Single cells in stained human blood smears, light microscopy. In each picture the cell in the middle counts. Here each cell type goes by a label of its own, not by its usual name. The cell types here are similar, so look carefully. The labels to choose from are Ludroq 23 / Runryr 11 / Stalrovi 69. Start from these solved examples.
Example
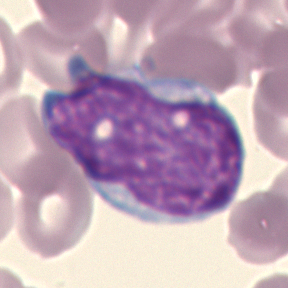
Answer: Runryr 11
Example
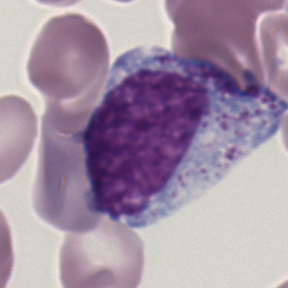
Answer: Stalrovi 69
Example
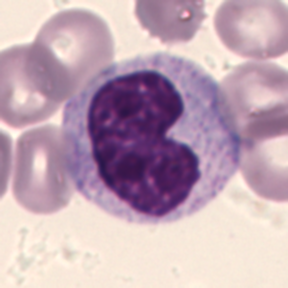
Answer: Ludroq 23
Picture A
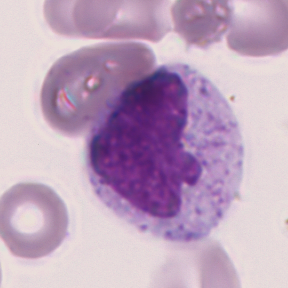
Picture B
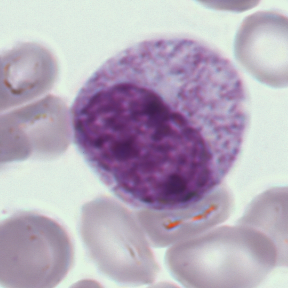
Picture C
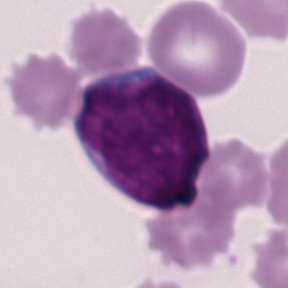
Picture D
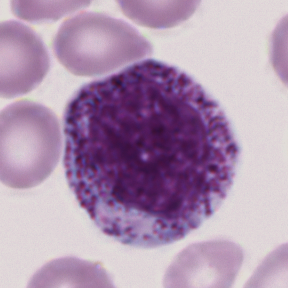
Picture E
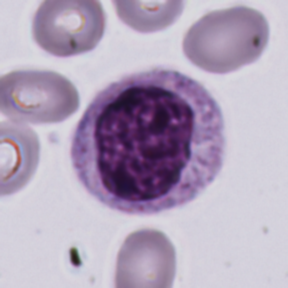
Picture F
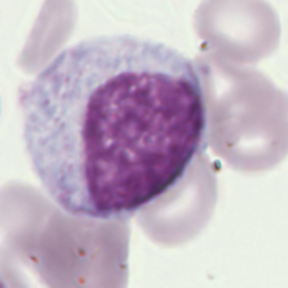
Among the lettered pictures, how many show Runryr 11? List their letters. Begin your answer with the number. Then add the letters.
1, namely C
